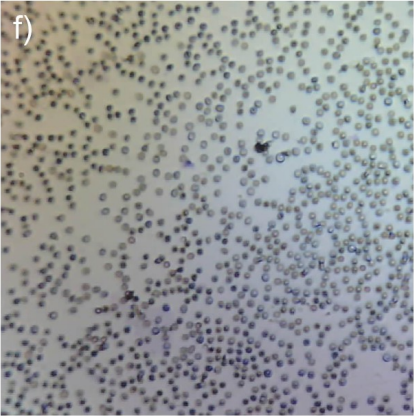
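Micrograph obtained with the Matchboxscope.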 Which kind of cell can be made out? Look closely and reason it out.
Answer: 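Numerous small, round cells of near-uniform size scattered across the field. The cells lie singly or in loose clusters on a pale background. No large cells with lobed or prominent nuclei stand out among them. The answer: red blood cells.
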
